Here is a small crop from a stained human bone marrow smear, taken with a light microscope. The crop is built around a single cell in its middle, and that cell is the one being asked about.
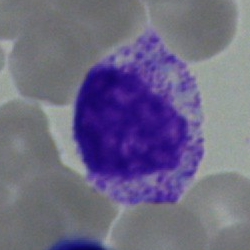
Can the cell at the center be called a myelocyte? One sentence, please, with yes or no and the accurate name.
Yes, the cell at the middle is a myelocyte.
